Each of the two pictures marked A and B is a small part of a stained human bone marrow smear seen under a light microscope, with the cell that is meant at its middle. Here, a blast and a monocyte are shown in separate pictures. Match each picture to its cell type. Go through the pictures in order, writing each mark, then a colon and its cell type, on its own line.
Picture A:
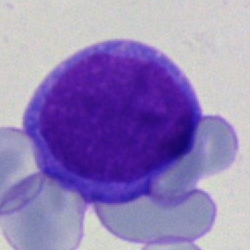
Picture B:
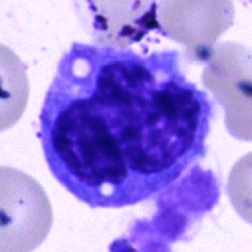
A: blast
B: monocyte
